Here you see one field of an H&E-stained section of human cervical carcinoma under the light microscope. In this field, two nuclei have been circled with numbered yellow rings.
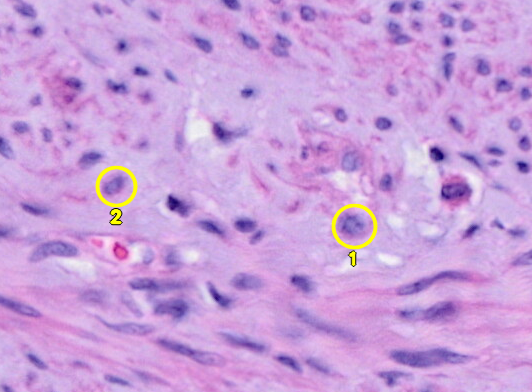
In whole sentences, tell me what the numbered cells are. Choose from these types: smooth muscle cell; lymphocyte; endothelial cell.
Cell 1 is an endothelial cell. Cell 2 is a smooth muscle cell.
